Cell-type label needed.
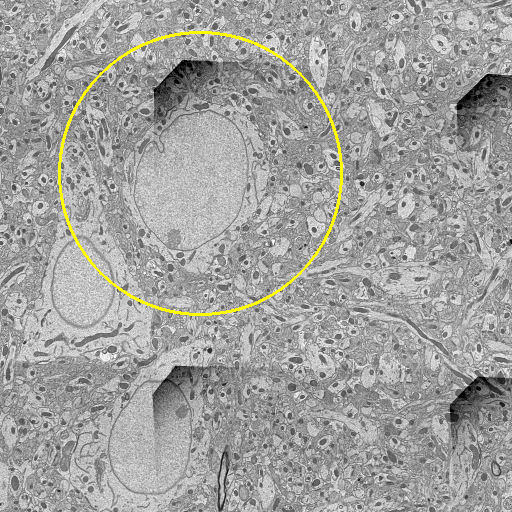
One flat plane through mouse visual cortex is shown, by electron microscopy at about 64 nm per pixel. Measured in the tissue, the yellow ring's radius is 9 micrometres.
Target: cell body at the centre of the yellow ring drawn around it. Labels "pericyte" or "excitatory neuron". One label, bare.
excitatory neuron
